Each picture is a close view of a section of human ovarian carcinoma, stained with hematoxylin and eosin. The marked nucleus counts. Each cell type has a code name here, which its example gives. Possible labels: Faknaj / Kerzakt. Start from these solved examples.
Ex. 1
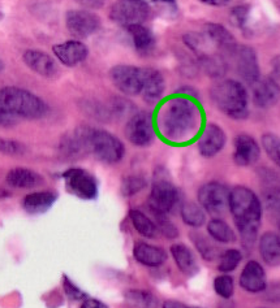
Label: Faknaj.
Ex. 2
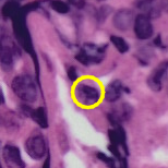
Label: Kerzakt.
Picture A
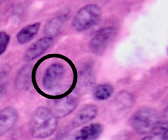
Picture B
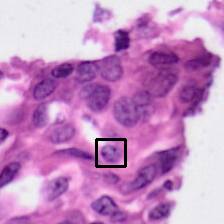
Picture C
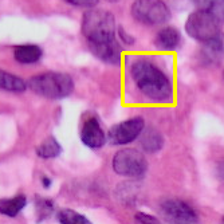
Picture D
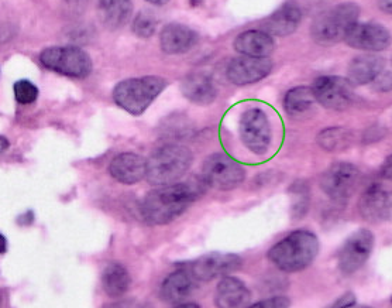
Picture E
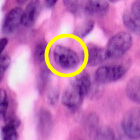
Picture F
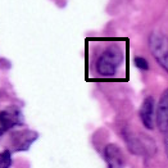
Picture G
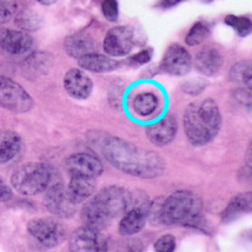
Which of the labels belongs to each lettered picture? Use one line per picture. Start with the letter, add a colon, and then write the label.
A: Kerzakt.
B: Kerzakt.
C: Faknaj.
D: Kerzakt.
E: Kerzakt.
F: Kerzakt.
G: Kerzakt.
